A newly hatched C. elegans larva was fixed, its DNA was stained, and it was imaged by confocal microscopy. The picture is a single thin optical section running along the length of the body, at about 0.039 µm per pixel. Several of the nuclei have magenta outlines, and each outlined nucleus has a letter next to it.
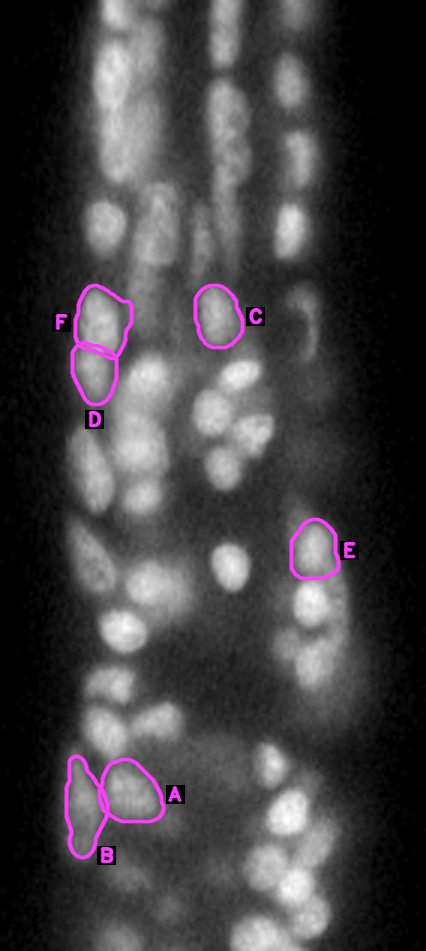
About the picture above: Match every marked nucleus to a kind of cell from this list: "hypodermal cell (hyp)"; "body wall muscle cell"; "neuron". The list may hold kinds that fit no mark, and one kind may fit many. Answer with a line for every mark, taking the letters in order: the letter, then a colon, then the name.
A: neuron
B: hypodermal cell (hyp)
C: neuron
D: hypodermal cell (hyp)
E: neuron
F: hypodermal cell (hyp)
